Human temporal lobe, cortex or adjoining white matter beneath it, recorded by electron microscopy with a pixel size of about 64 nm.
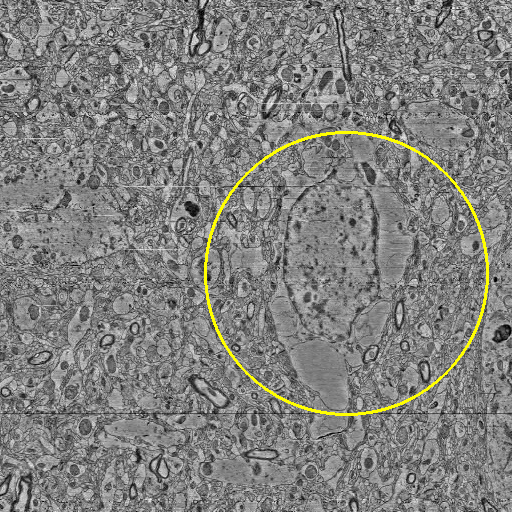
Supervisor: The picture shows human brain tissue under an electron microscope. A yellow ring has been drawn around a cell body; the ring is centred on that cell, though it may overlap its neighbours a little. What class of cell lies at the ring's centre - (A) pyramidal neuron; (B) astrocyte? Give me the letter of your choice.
B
